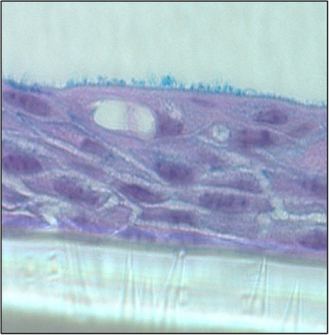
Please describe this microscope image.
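This is a cross section through a cultured epithelial cell layer several cells thick, resting on a clear, glassy support membrane. The nuclei are oval and deep purple, many lying flattened and parallel to the surface, and the cytoplasm is pink-purple with pale cell borders between neighbours. A few clear, rounded vacuole-like spaces sit within the layer. Along the upper free surface runs a fringe of fine hair-like projections tinted blue-green, the cilia.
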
